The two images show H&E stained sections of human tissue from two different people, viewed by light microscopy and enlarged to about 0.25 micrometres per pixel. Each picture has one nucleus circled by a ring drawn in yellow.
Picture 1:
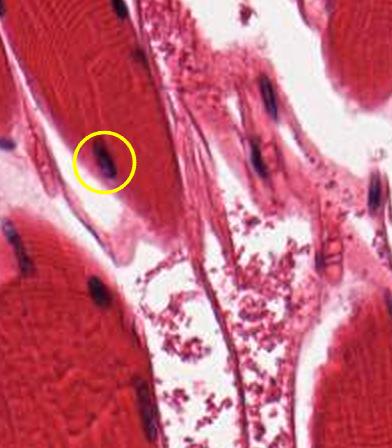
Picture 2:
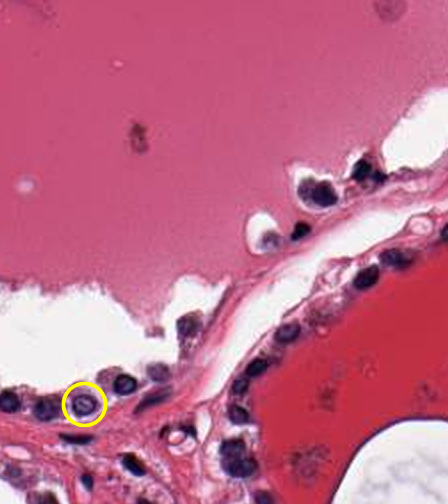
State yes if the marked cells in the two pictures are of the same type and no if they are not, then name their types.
No, the first is a skeletal muscle fibre and the second a thyroid follicular cell.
